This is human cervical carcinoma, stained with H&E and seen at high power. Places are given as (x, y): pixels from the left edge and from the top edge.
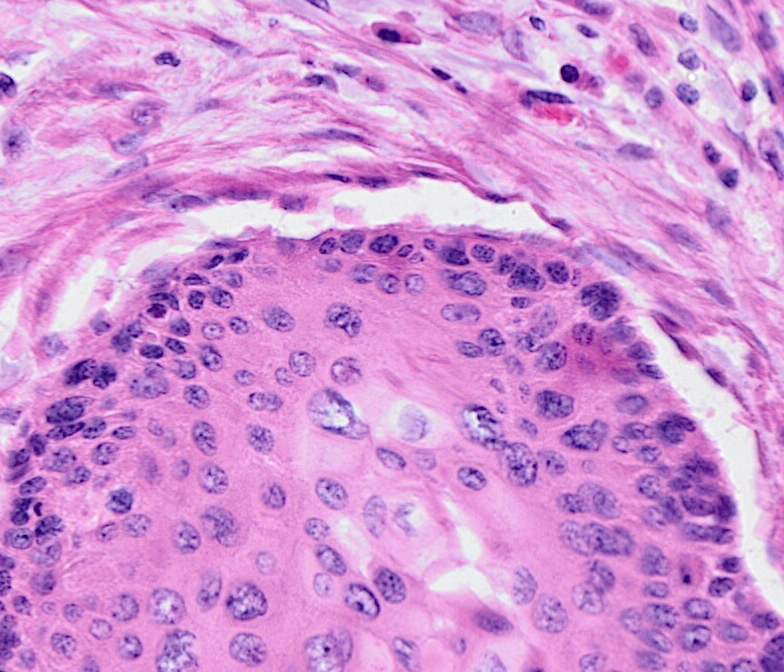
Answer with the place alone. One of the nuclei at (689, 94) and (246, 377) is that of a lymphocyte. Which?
(689, 94)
